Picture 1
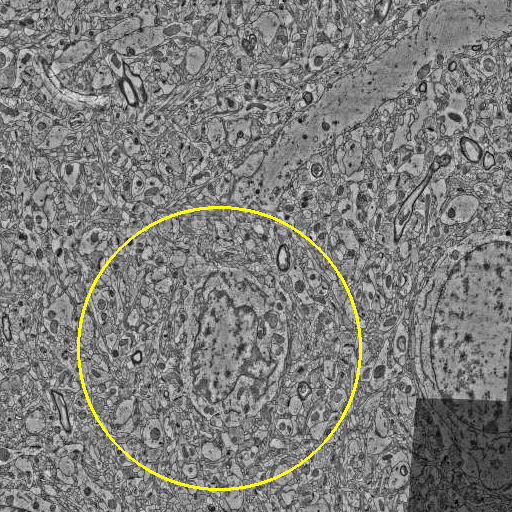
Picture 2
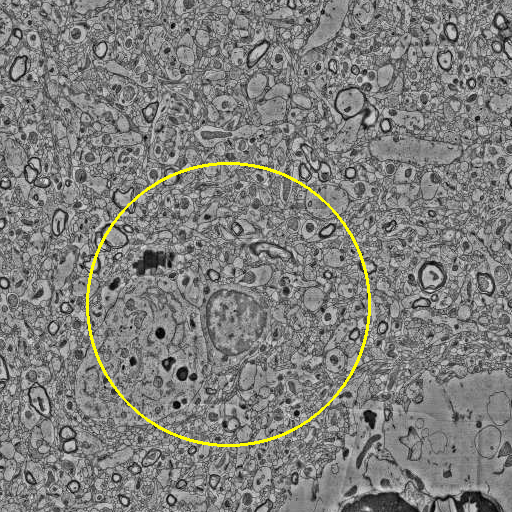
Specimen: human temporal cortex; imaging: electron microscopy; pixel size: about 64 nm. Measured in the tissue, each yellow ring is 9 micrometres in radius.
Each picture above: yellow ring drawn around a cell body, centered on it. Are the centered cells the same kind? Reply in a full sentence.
No, the two cells are two kinds of cell.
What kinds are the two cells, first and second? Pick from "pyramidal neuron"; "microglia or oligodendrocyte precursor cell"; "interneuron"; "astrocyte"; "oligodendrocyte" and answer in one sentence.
The second picture holds an oligodendrocyte in its ring, and the first holds an interneuron.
